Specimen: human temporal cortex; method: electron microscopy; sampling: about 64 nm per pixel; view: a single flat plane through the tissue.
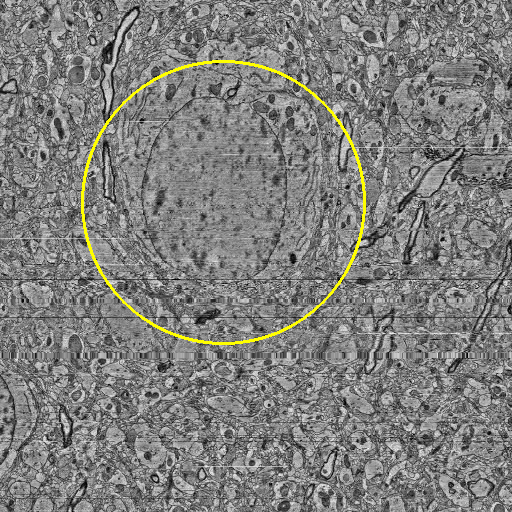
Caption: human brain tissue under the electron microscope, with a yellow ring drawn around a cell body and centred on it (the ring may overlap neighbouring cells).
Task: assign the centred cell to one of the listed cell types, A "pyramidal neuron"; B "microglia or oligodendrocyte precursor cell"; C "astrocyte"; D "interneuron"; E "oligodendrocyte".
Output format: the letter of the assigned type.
A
